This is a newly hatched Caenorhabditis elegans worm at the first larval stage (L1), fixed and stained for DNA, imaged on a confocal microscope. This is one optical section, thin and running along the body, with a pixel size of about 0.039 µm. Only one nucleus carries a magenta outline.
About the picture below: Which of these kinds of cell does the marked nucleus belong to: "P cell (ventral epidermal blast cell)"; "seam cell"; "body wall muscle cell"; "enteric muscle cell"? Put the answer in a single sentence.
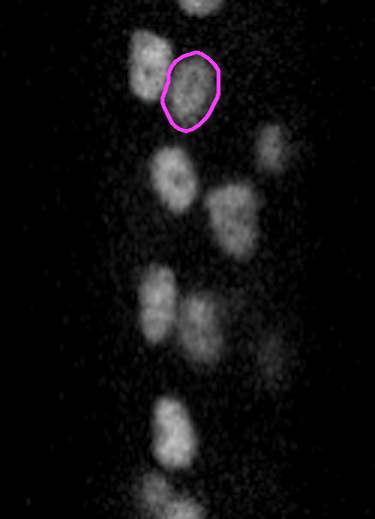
It is the nucleus of a seam cell.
